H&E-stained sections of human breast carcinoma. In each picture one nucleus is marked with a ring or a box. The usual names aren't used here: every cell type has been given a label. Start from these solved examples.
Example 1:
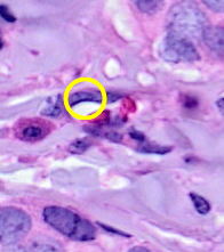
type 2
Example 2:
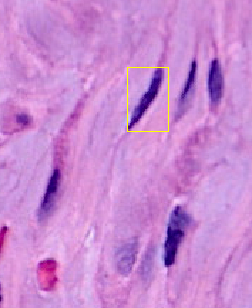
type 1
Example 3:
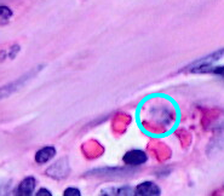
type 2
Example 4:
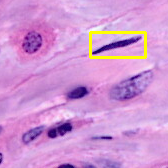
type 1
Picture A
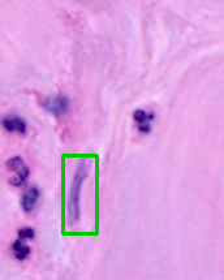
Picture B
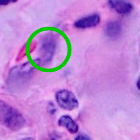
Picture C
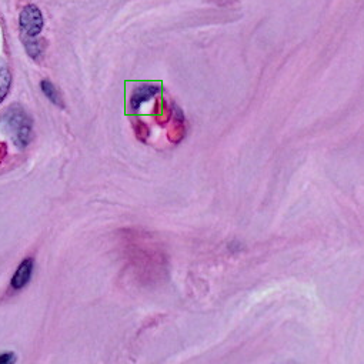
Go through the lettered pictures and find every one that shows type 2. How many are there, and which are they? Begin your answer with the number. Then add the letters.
2: B, C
